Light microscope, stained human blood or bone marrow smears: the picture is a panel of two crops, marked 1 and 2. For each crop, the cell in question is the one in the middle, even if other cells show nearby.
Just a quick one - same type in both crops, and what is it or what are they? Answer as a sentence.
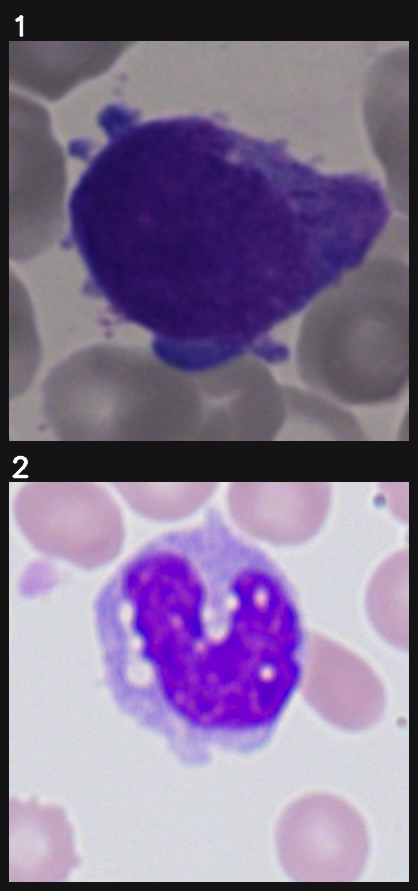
No, the middle of crop 1 shows a blast, and the middle of crop 2 shows a monocyte.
